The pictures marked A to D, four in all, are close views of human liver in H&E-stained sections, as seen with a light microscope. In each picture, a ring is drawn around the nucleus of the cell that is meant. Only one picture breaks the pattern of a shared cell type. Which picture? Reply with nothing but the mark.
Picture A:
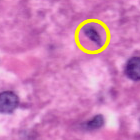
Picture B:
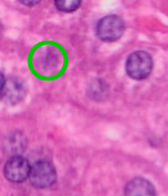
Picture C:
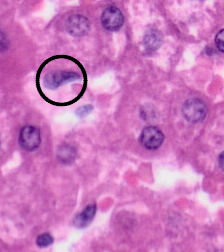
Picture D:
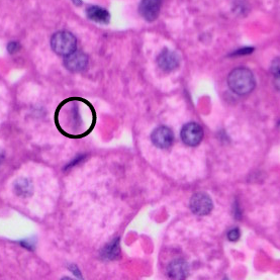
B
